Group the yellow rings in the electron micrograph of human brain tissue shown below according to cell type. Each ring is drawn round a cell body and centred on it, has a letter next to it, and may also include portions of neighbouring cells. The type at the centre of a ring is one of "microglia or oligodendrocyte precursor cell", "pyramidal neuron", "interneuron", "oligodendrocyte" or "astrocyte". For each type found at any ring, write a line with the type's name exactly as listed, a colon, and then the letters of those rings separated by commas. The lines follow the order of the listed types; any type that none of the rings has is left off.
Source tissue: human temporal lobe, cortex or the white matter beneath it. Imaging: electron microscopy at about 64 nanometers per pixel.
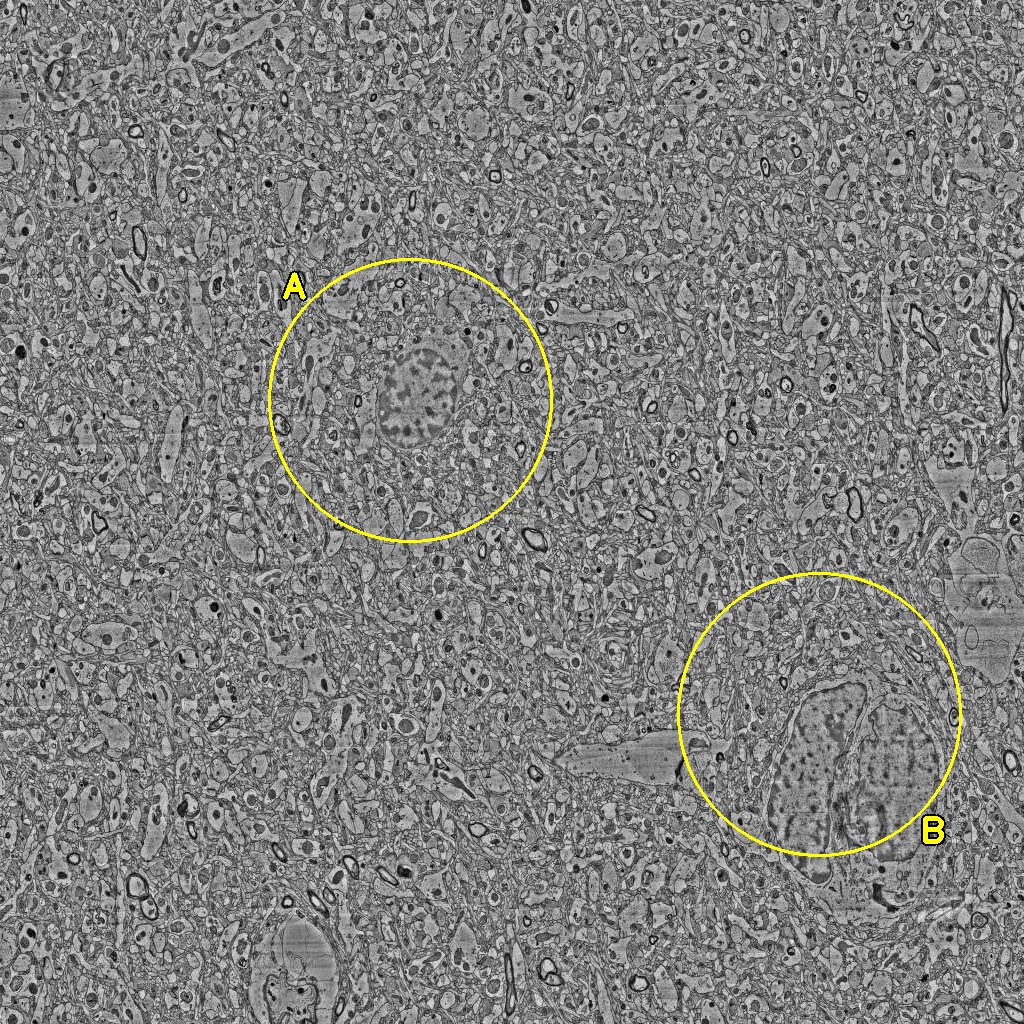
microglia or oligodendrocyte precursor cell: B
oligodendrocyte: A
